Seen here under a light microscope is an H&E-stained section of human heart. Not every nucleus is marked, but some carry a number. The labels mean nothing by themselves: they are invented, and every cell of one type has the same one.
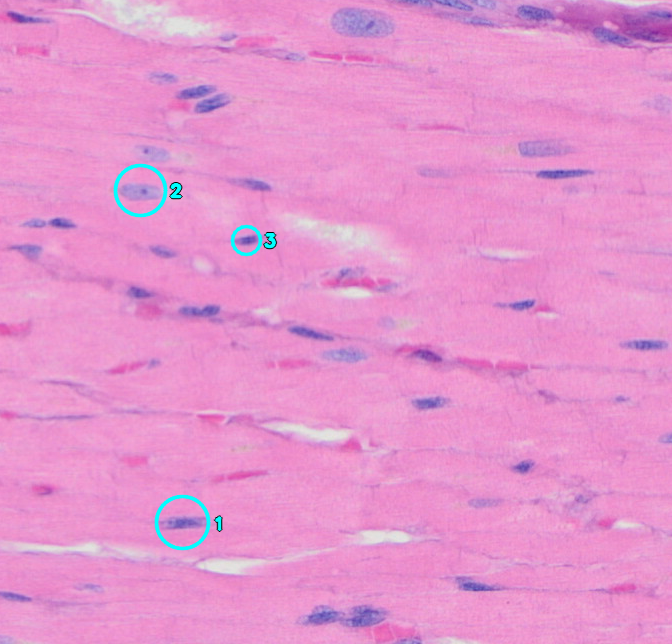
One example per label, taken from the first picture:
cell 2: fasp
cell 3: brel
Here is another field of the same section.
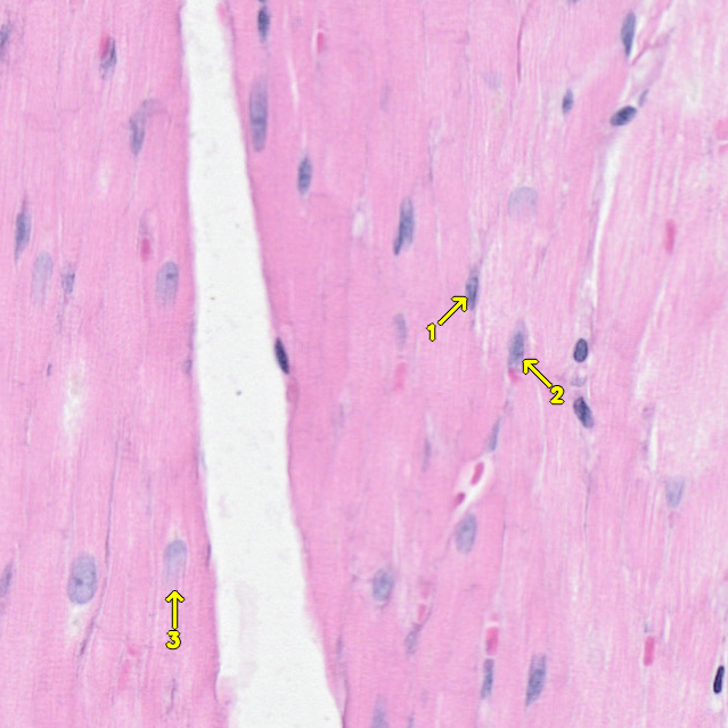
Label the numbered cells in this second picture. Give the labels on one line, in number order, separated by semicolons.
brel; brel; fasp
